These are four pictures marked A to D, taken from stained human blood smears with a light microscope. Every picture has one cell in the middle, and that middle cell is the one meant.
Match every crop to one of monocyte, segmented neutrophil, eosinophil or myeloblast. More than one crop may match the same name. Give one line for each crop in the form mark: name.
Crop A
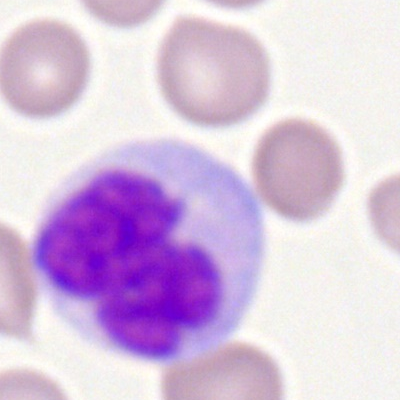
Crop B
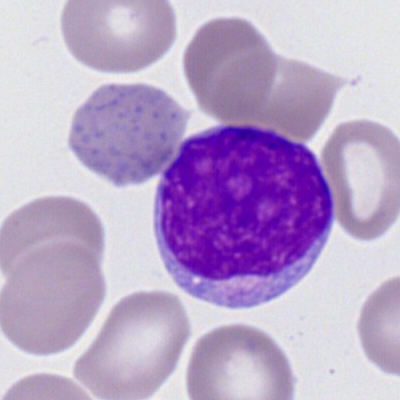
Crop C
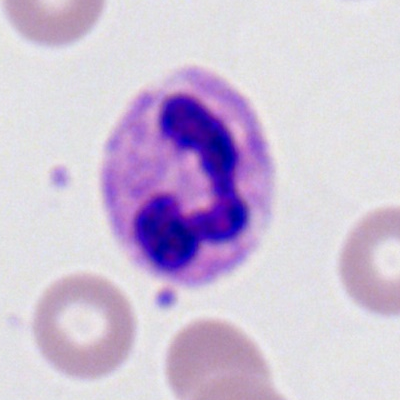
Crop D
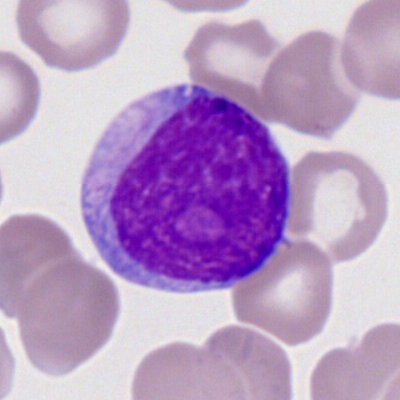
A: monocyte
B: myeloblast
C: segmented neutrophil
D: myeloblast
